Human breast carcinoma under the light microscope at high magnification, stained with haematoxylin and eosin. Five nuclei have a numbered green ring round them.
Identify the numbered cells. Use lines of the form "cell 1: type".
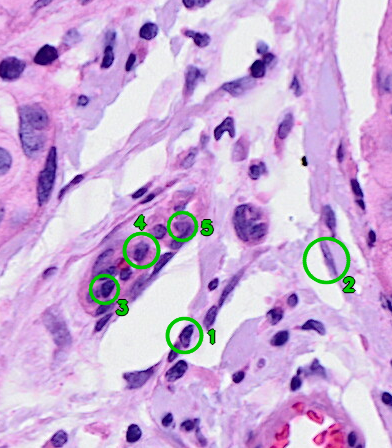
cell 1: lymphocyte
cell 2: fibroblast
cell 3: endothelial cell
cell 4: endothelial cell
cell 5: endothelial cell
